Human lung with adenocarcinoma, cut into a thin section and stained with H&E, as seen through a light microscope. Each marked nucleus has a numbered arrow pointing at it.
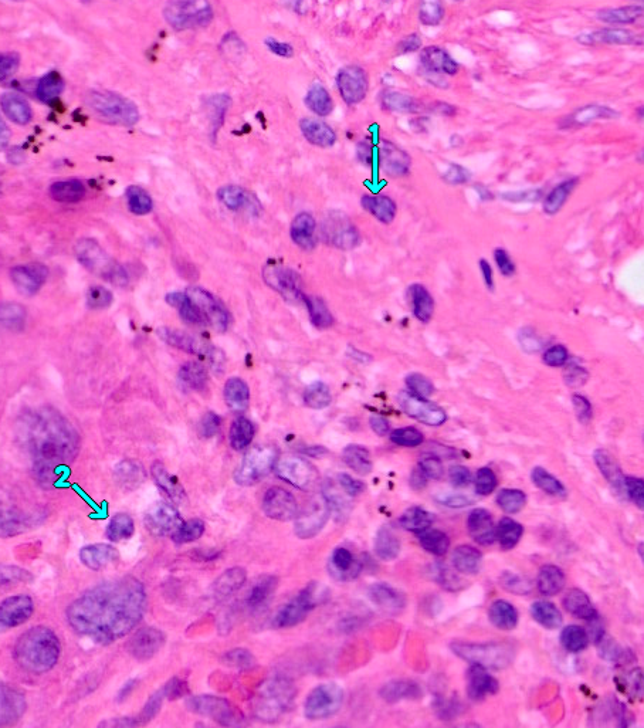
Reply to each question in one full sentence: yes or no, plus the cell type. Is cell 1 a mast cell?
Yes, the one with the number 1 is a mast cell.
